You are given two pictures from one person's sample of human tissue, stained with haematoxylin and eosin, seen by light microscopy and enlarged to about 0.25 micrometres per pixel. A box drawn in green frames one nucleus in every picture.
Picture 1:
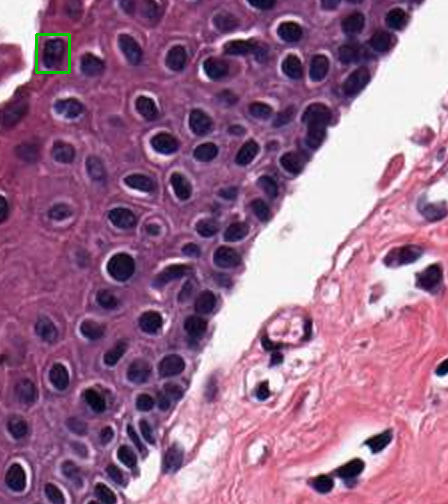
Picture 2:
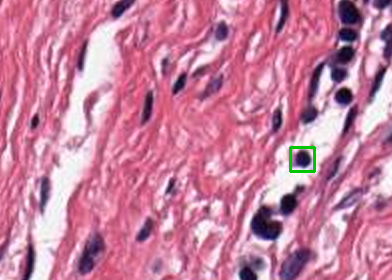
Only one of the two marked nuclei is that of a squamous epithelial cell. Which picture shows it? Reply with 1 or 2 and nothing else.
1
